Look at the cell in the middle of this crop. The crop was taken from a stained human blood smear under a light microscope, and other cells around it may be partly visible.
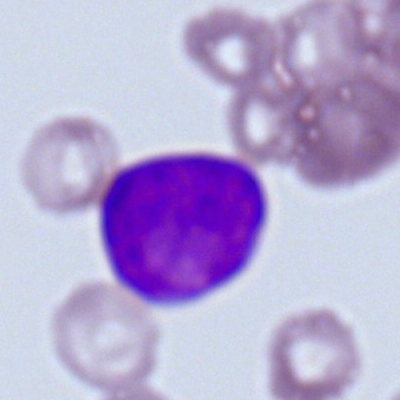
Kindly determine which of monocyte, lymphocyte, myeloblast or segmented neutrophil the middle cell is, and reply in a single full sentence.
Looking at the middle of the crop, the cell there is a myeloblast.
